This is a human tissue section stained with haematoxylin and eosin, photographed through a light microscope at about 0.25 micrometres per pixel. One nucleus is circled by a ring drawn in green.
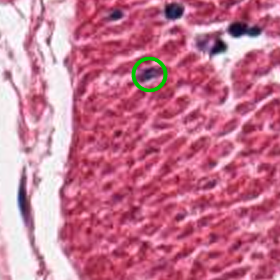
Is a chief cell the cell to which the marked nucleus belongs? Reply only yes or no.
no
